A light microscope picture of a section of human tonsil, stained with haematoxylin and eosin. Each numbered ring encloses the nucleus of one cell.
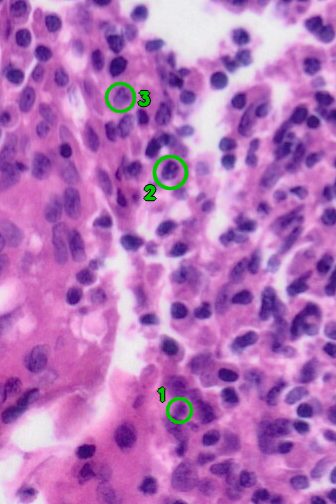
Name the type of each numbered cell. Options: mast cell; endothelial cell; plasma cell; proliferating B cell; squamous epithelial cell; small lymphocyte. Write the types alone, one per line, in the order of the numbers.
squamous epithelial cell
plasma cell
plasma cell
